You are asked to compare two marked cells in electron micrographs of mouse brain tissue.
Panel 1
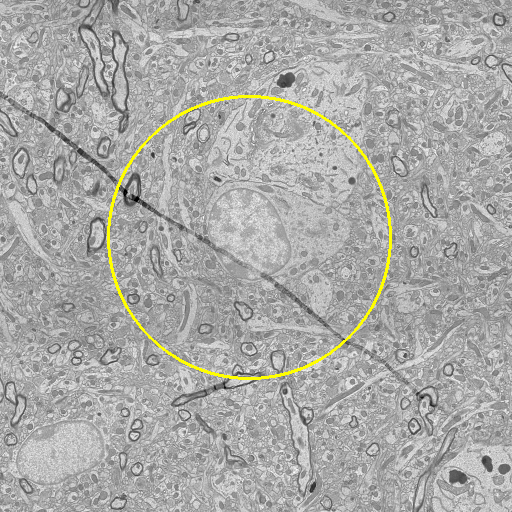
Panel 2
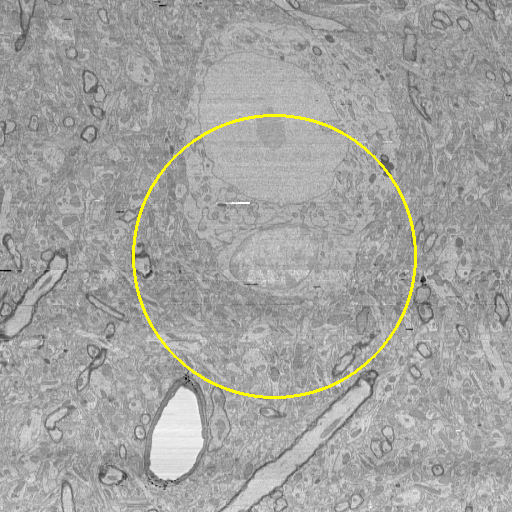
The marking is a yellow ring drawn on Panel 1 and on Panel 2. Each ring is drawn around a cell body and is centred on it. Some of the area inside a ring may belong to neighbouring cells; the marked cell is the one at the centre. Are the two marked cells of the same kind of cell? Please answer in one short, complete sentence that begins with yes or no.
Yes, the two marked cells are of the same kind.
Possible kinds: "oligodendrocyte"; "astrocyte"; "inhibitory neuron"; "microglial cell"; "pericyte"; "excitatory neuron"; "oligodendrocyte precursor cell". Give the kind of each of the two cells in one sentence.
In each of the two pictures, the ringed cell is an oligodendrocyte.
